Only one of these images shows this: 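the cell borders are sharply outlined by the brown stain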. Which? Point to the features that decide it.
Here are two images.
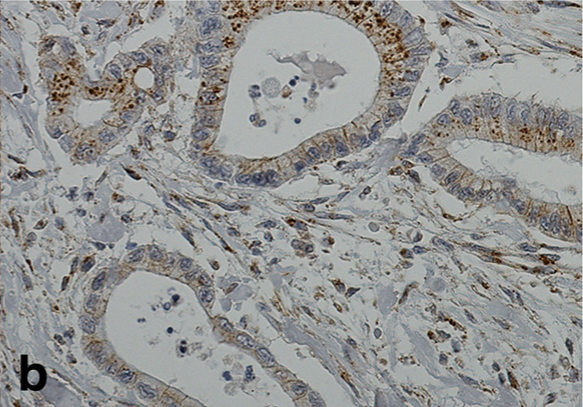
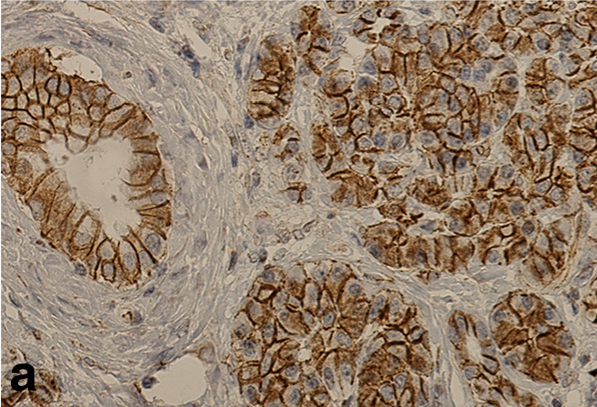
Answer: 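The second image. Second image: continuous brown lines trace the border of each epithelial cell.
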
